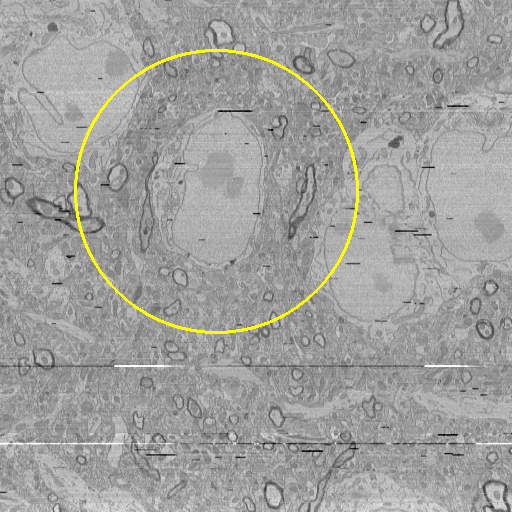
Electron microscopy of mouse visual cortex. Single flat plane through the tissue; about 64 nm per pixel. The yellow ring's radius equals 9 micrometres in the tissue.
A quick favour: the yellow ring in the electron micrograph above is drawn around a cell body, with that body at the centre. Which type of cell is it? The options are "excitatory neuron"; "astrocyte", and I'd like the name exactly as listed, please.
excitatory neuron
